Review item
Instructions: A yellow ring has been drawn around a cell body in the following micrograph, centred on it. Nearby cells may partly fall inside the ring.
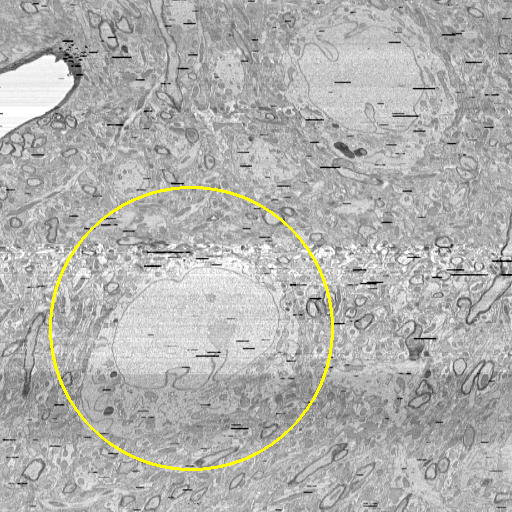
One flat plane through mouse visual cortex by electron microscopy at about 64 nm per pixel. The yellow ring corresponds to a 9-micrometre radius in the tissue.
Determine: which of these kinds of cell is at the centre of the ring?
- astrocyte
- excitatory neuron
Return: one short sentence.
The cell body in the middle of the ring is that of an excitatory neuron.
